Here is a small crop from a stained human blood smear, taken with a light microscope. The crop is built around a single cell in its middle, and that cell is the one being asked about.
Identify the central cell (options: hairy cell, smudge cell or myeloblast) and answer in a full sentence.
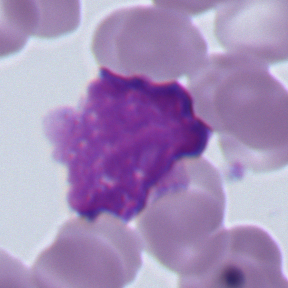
In the centre of this crop there is a smudge cell.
